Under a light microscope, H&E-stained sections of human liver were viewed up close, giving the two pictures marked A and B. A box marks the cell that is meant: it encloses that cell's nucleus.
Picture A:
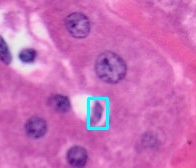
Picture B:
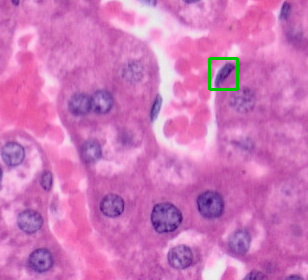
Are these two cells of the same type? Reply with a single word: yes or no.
yes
